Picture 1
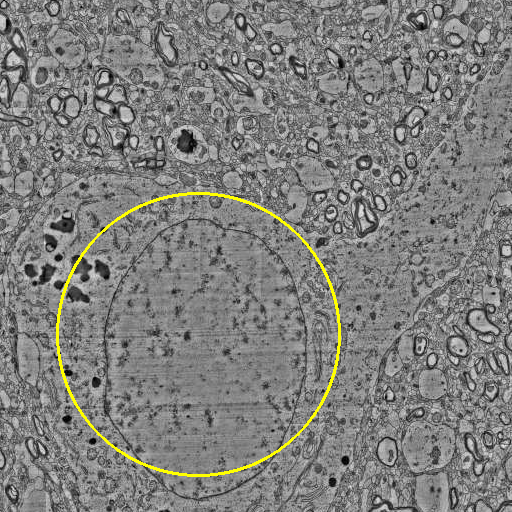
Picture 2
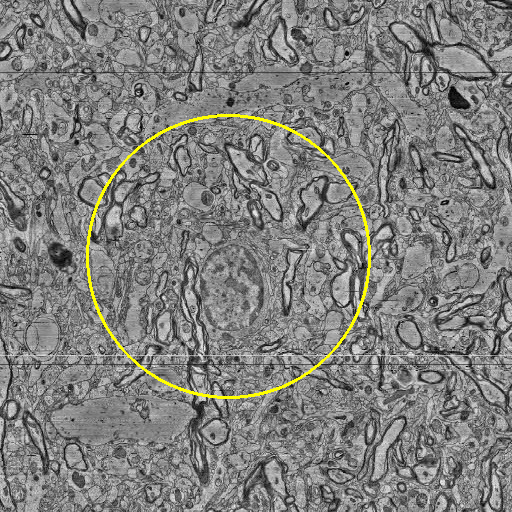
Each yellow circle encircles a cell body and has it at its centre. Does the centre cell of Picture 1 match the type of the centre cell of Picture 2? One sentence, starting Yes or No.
No, the cell centred in Picture 1 and the one in Picture 2 have separate types.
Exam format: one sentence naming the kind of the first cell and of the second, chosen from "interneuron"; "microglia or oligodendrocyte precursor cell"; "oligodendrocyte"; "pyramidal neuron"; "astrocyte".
The first picture's cell is a pyramidal neuron, and the second picture's cell is an oligodendrocyte.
